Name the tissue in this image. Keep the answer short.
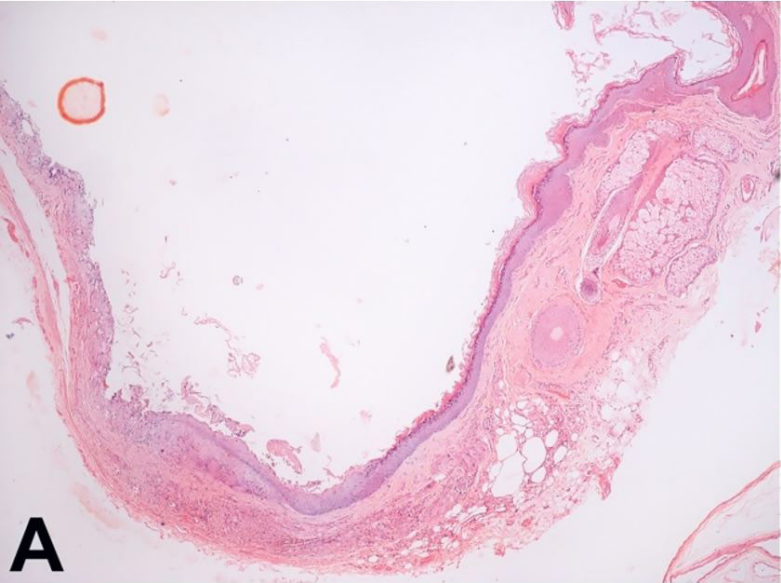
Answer: stratified squamous epithelium with keratinization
